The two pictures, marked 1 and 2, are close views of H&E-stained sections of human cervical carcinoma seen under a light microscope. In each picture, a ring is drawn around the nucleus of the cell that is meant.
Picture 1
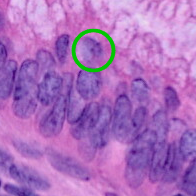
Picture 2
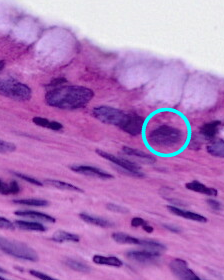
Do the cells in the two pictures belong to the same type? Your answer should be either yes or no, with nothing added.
yes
